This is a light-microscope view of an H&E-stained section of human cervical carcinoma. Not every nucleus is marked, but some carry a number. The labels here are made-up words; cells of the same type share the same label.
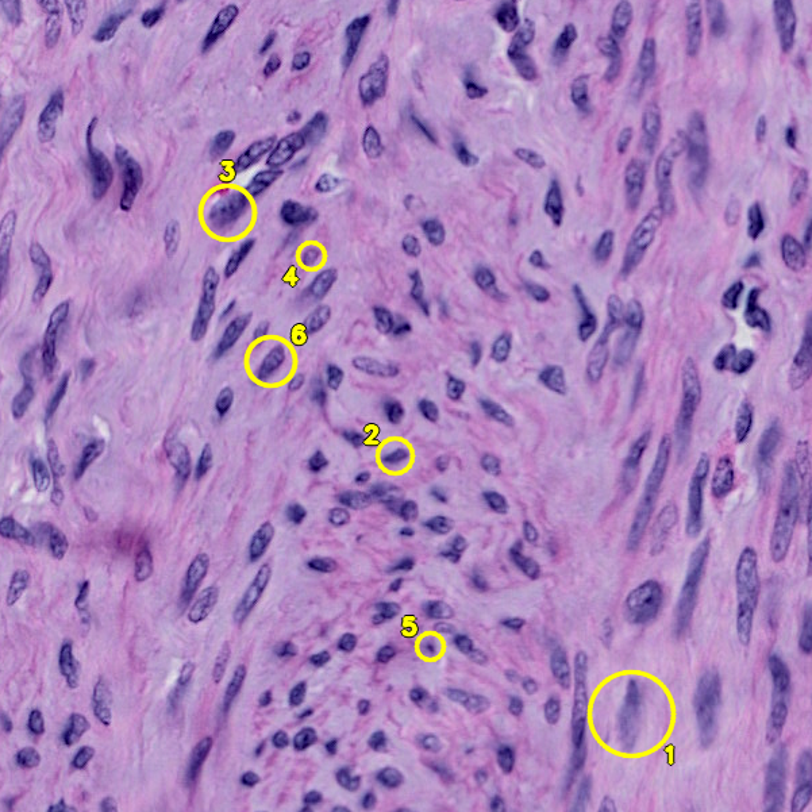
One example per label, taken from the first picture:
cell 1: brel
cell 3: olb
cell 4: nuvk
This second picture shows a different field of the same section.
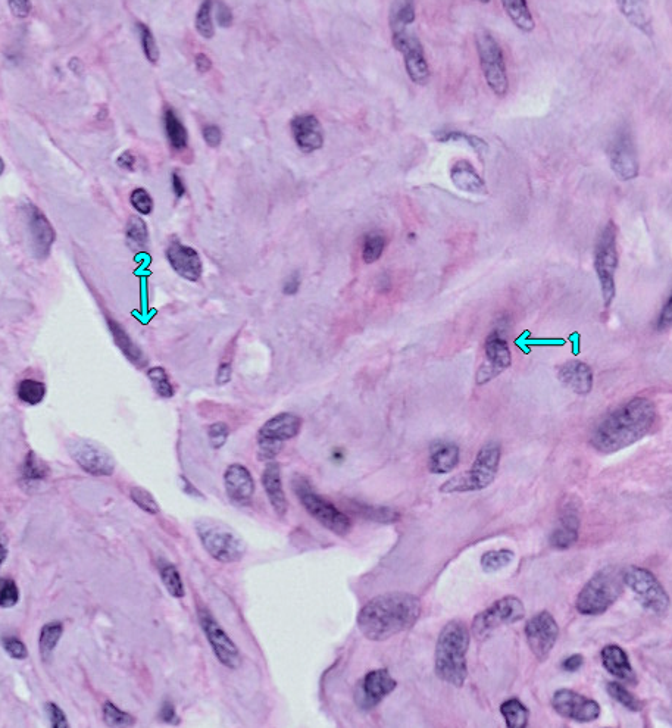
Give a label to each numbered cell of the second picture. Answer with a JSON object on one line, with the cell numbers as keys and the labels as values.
{"1": "nuvk", "2": "olb"}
